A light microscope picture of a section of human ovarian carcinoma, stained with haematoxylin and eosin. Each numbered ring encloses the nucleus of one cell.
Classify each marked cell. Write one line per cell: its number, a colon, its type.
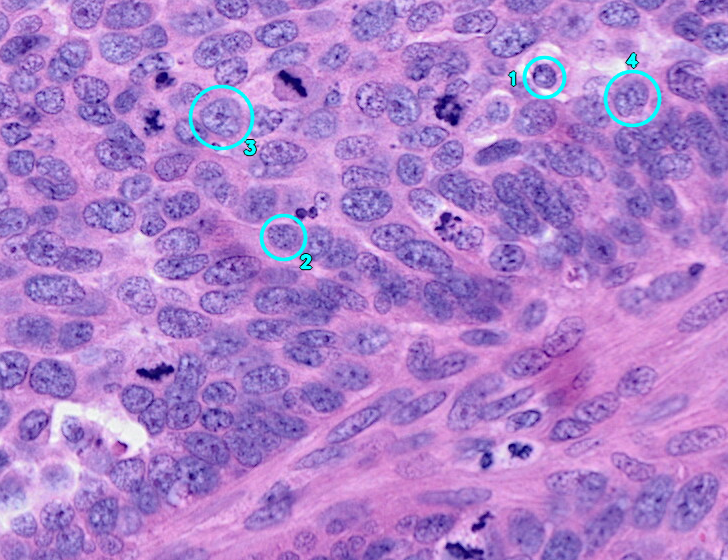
1: macrophage or monocyte
2: carcinoma cell
3: carcinoma cell
4: carcinoma cell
